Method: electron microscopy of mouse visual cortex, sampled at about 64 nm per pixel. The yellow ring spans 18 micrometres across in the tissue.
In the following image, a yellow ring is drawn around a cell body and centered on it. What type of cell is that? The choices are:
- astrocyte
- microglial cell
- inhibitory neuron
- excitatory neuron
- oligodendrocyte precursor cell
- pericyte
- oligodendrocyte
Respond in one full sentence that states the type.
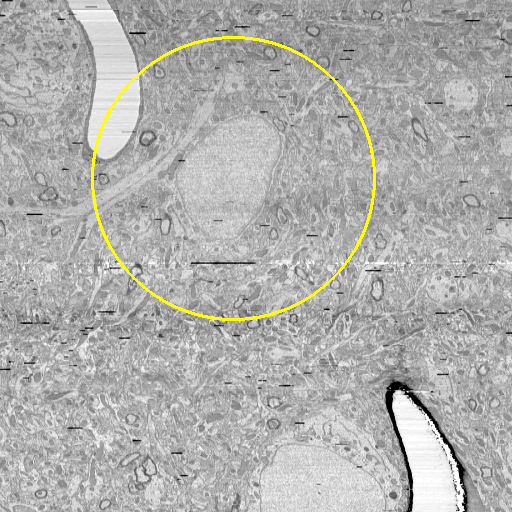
The cell at the center of the yellow ring in the image is an astrocyte.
